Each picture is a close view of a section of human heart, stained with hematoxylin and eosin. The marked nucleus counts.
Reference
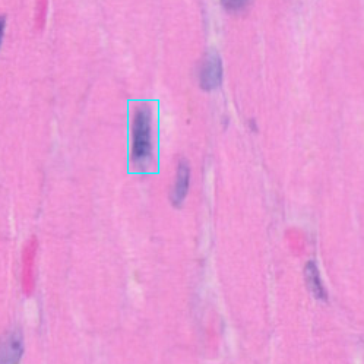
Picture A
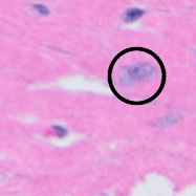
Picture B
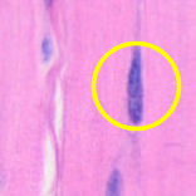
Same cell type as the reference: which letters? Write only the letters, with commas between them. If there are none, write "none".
B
